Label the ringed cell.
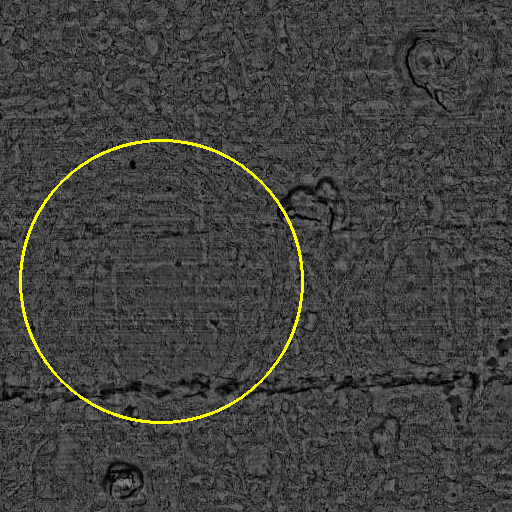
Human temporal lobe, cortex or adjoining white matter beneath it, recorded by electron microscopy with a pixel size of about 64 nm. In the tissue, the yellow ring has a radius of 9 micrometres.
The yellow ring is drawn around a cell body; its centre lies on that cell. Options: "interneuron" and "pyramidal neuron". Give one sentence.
The ringed cell is a pyramidal neuron.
